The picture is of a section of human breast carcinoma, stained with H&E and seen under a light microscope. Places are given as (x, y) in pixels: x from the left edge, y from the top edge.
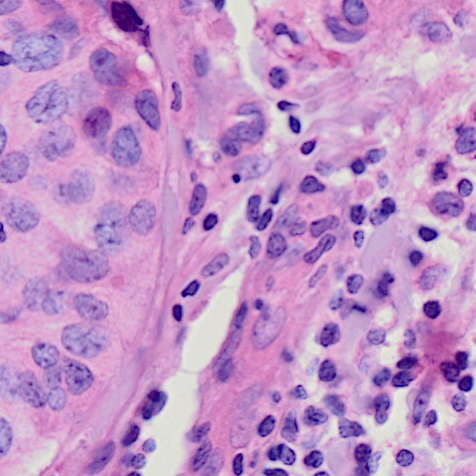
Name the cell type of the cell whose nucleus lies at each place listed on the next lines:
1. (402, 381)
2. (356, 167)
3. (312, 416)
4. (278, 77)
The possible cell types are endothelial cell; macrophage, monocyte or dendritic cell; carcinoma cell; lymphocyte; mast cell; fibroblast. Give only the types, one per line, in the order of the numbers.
lymphocyte
lymphocyte
lymphocyte
mast cell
